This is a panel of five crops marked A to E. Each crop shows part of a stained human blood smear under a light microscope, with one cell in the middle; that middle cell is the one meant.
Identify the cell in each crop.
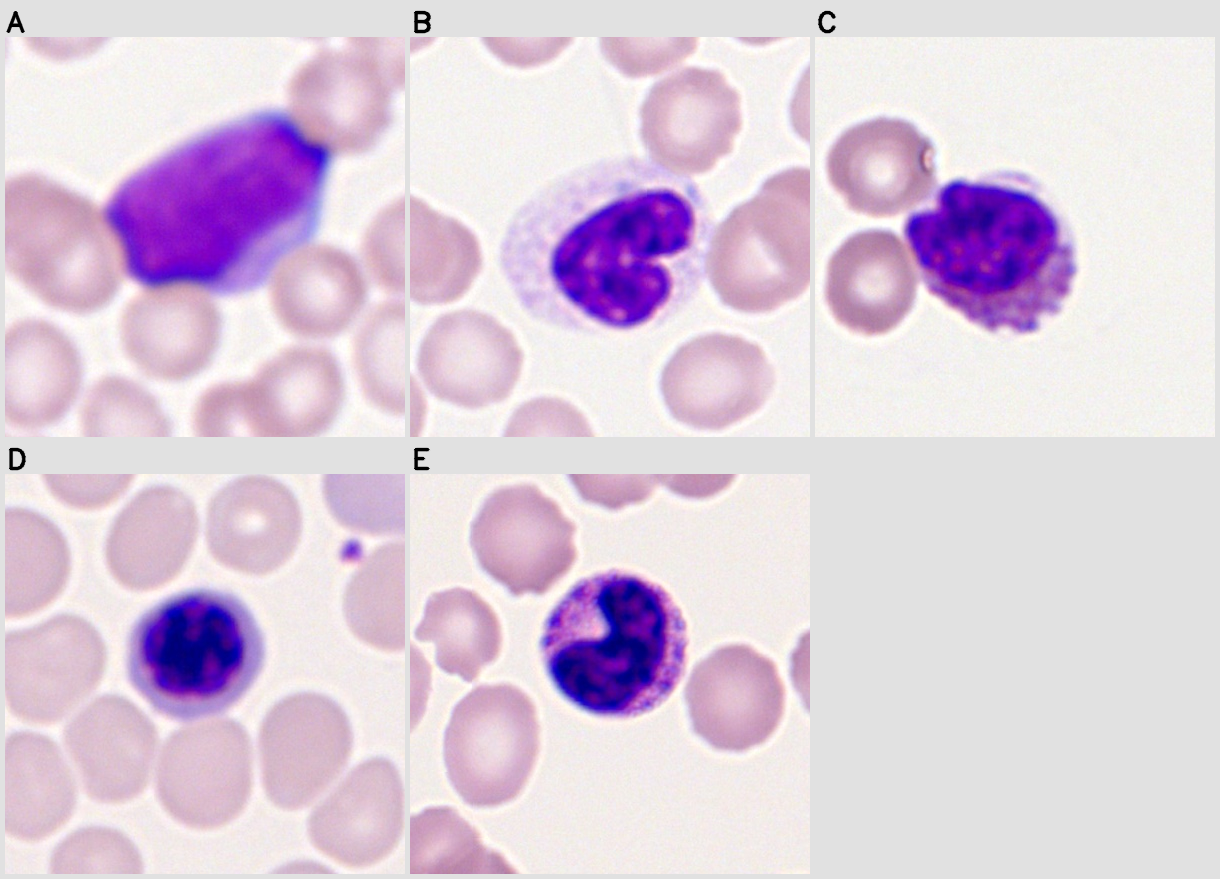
A: myeloblast
B: band neutrophil
C: eosinophil
D: normoblast
E: band neutrophil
